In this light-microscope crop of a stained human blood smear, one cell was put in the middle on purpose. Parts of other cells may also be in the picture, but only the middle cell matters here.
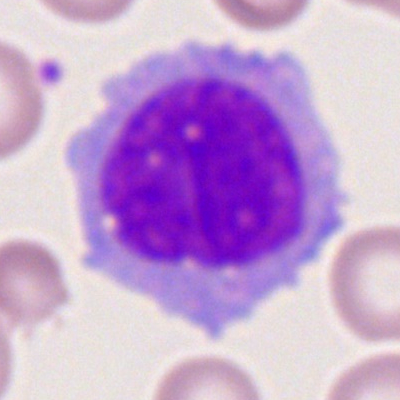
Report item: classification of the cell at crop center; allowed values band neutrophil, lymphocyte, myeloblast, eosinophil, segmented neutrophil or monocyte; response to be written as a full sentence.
The cell at the centre of the field is a monocyte.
